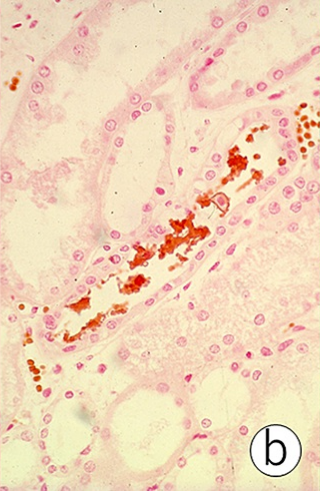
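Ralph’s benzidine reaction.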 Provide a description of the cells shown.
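Kidney tubules lined by cuboidal epithelial cells with pale cytoplasm and round nuclei; one elongated tubule holds irregular orange-red granular cast material in its lumen. Small round orange-red red blood cells lie singly and in rows between the tubules. Neighbouring tubules have pale, largely empty lumens.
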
